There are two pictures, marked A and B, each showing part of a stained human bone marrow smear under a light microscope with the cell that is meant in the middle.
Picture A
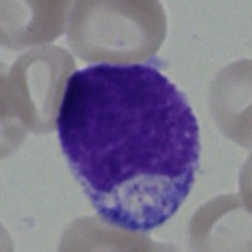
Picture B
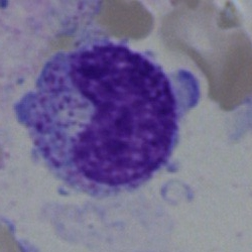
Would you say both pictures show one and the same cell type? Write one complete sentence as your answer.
No. Picture A shows a myelocyte, but picture B shows a metamyelocyte.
